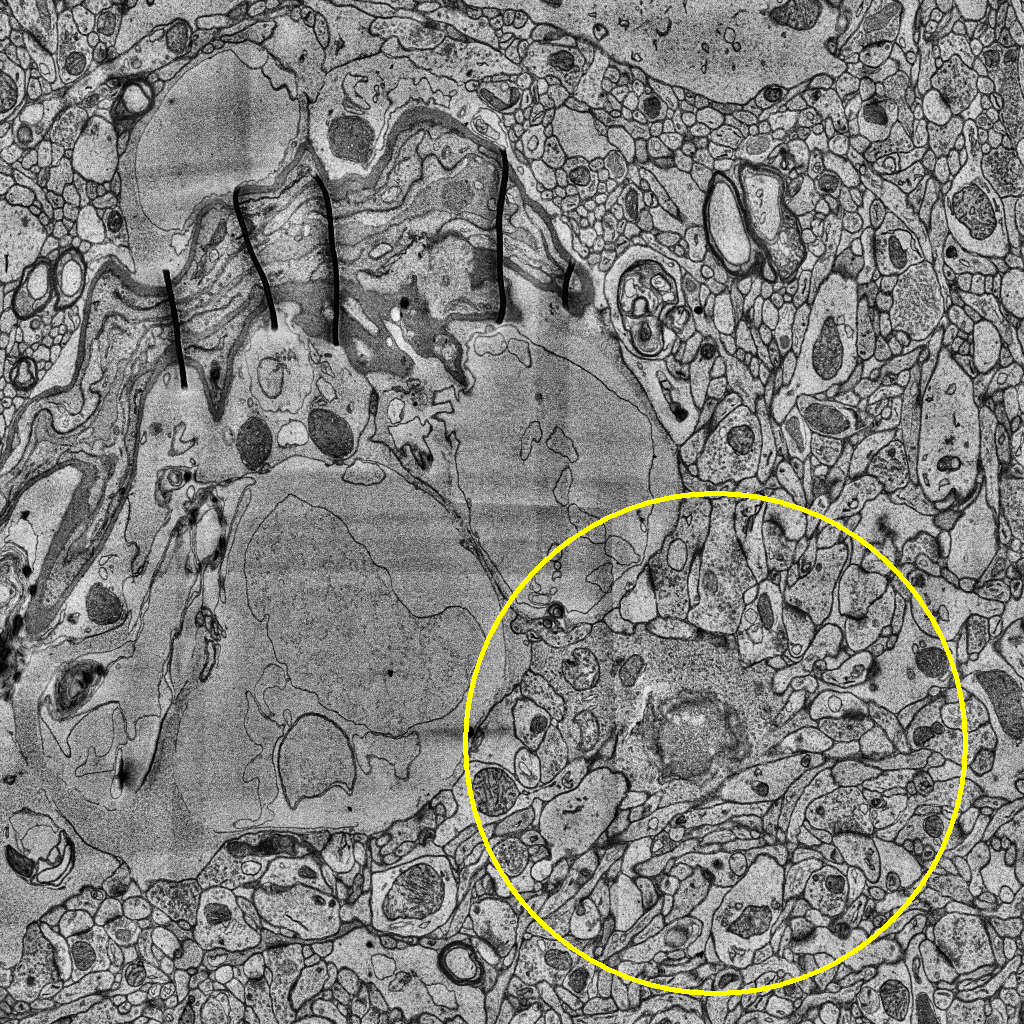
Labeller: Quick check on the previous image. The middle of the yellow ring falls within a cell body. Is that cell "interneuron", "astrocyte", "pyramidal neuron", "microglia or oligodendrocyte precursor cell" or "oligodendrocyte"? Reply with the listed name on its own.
oligodendrocyte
